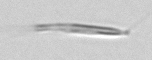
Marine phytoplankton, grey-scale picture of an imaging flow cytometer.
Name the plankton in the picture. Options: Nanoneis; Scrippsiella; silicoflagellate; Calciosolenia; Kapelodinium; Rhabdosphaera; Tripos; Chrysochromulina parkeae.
Calciosolenia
